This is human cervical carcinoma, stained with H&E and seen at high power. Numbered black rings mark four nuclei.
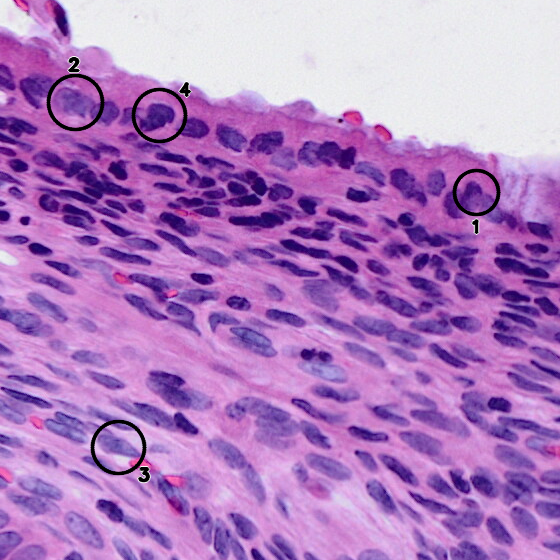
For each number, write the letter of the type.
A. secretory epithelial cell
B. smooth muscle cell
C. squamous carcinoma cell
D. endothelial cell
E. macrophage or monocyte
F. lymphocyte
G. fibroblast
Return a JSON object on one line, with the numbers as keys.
{"1": "A", "2": "A", "3": "D", "4": "A"}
